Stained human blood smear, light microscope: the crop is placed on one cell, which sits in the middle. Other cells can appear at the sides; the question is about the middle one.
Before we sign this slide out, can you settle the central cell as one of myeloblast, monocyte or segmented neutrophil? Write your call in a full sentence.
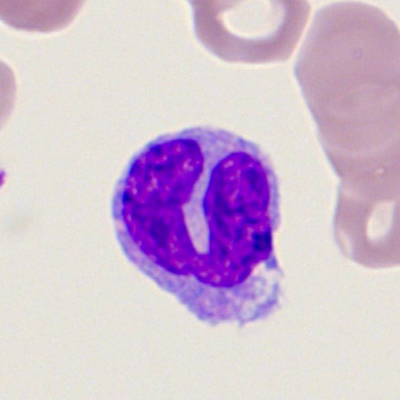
Seen at the centre of the crop is a monocyte.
